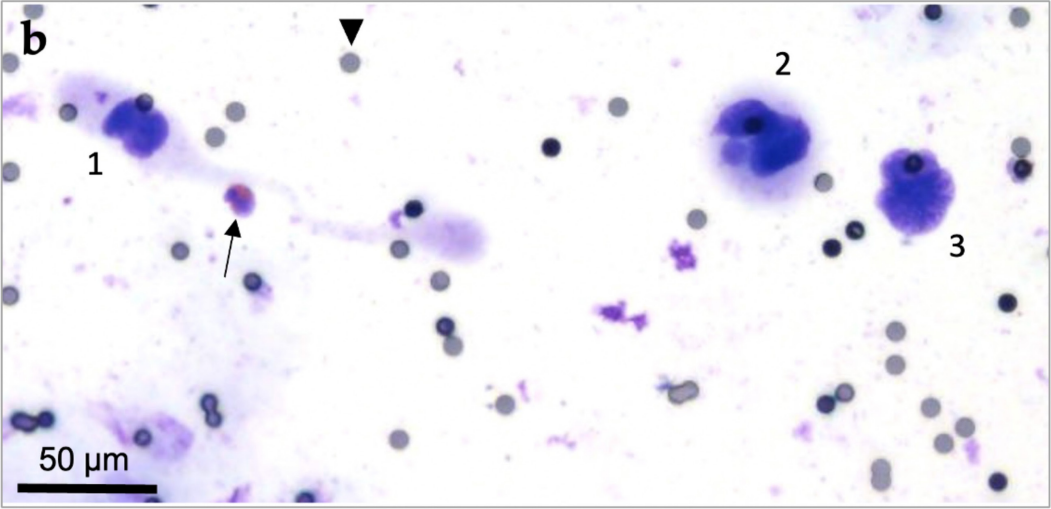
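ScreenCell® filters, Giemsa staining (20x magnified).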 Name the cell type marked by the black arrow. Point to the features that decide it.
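A small round cell with orange-red granular cytoplasm. It is far smaller than the large blue-staining cells nearby.
Answer: eosinophil granulocyte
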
